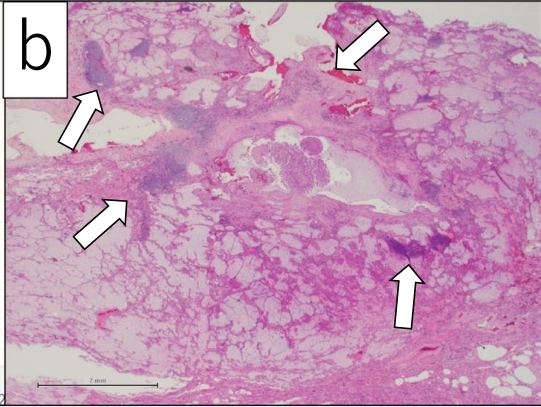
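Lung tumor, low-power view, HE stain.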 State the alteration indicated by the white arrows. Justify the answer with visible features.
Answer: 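The clusters lie within pale, mucin-filled tissue.
Hence: lymphocytic infiltrate.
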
